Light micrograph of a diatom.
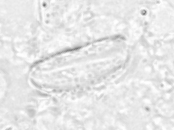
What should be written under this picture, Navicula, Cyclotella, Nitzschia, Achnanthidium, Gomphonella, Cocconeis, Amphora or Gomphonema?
Amphora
